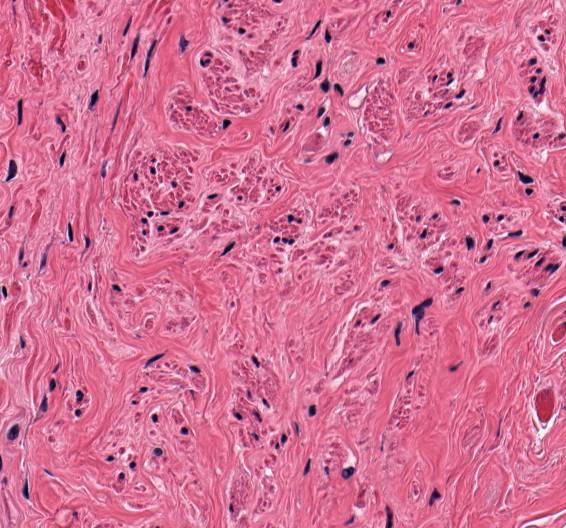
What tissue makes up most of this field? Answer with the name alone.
fibromuscular stroma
